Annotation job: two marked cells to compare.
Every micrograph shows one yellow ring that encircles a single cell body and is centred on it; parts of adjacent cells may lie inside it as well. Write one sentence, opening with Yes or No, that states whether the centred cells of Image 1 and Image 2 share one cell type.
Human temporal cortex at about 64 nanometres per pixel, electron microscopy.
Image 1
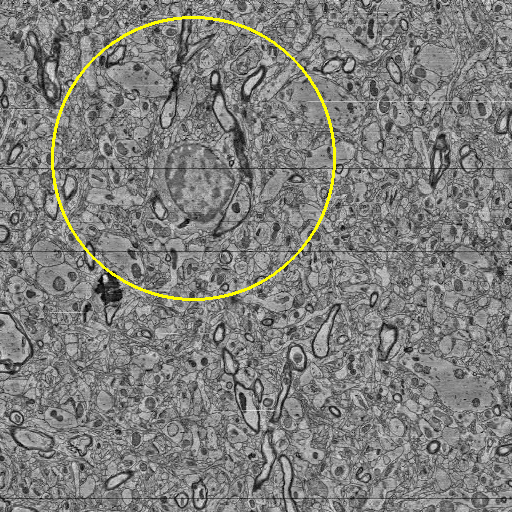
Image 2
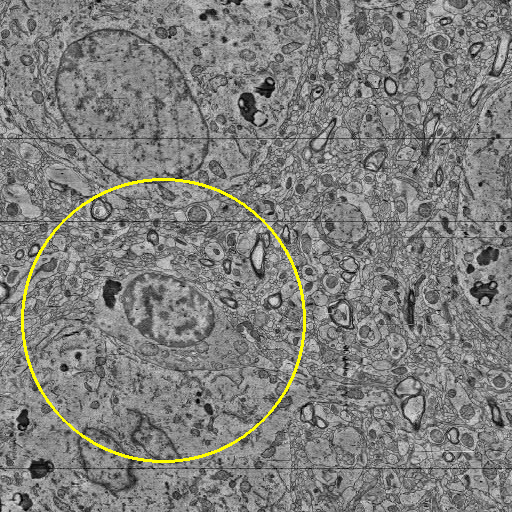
Yes, the cell centred in Image 1 shares its type with the cell centred in Image 2.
